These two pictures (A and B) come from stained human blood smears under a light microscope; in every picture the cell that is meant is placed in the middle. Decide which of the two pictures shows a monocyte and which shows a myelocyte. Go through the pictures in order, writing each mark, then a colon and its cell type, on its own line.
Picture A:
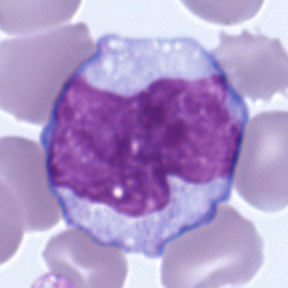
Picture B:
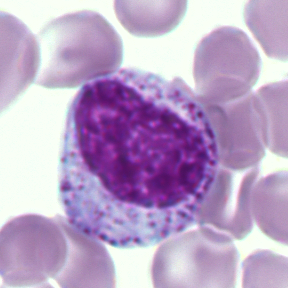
A: monocyte
B: myelocyte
